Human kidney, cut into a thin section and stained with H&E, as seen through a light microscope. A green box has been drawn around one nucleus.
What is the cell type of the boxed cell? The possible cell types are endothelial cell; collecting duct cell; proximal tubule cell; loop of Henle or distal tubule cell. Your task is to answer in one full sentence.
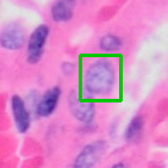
Assigned to a cell type, the boxed cell is a collecting duct cell.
